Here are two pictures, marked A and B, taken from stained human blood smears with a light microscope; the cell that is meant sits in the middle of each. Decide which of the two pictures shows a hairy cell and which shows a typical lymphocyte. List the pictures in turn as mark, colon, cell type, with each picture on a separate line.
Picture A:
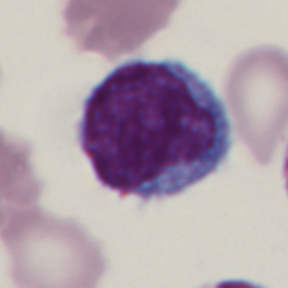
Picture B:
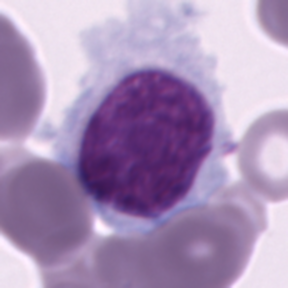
A: typical lymphocyte
B: hairy cell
